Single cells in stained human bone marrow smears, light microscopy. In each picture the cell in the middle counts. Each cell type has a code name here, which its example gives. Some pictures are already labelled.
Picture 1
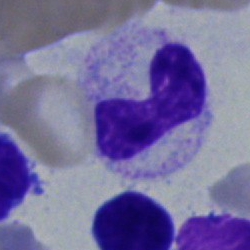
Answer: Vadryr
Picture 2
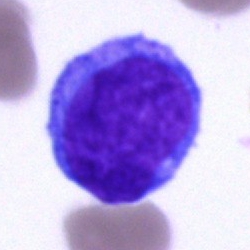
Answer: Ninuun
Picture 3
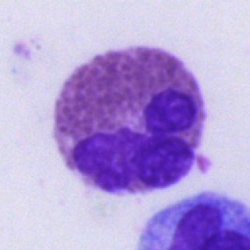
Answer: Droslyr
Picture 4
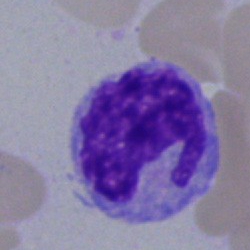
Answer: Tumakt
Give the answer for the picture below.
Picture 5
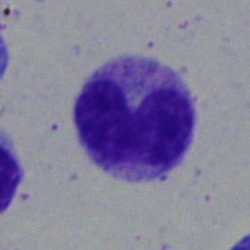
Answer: Vadryr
